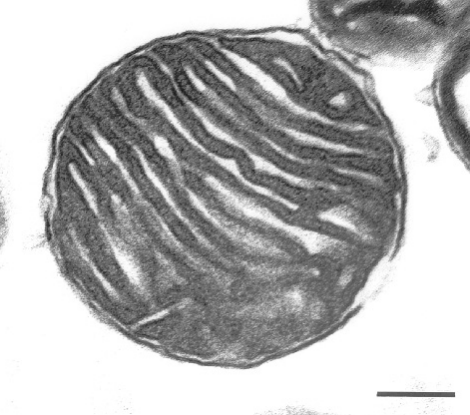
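Here one isolated mitochondrion is cut in a round profile with a smooth, continuous double-membrane boundary. Its cristae are long and mostly parallel, crossing the organelle diagonally as pale bands edged by dark membranes. Between them lies a dense granular matrix, so the interior looks striped. Edges of neighbouring mitochondria can be seen at the corners.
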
